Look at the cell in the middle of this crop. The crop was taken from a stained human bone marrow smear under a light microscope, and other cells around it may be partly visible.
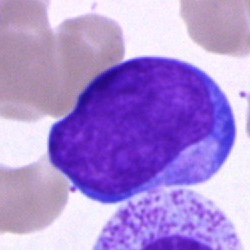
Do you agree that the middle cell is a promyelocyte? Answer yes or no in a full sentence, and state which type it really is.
No, rather than a promyelocyte, the central cell is a blast.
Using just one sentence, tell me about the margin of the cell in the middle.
From every side, the cell boundary is smooth and free of projections.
